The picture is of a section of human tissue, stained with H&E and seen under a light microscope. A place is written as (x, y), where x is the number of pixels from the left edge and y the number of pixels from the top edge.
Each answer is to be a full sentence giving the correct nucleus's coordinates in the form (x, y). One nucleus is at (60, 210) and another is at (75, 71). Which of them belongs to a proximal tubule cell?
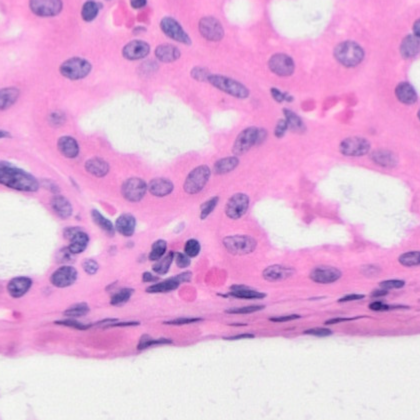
Which one belongs to a proximal tubule cell? The nucleus at (75, 71) does.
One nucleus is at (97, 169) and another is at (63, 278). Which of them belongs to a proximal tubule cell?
The nucleus located at (97, 169) is the one held within a proximal tubule cell.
